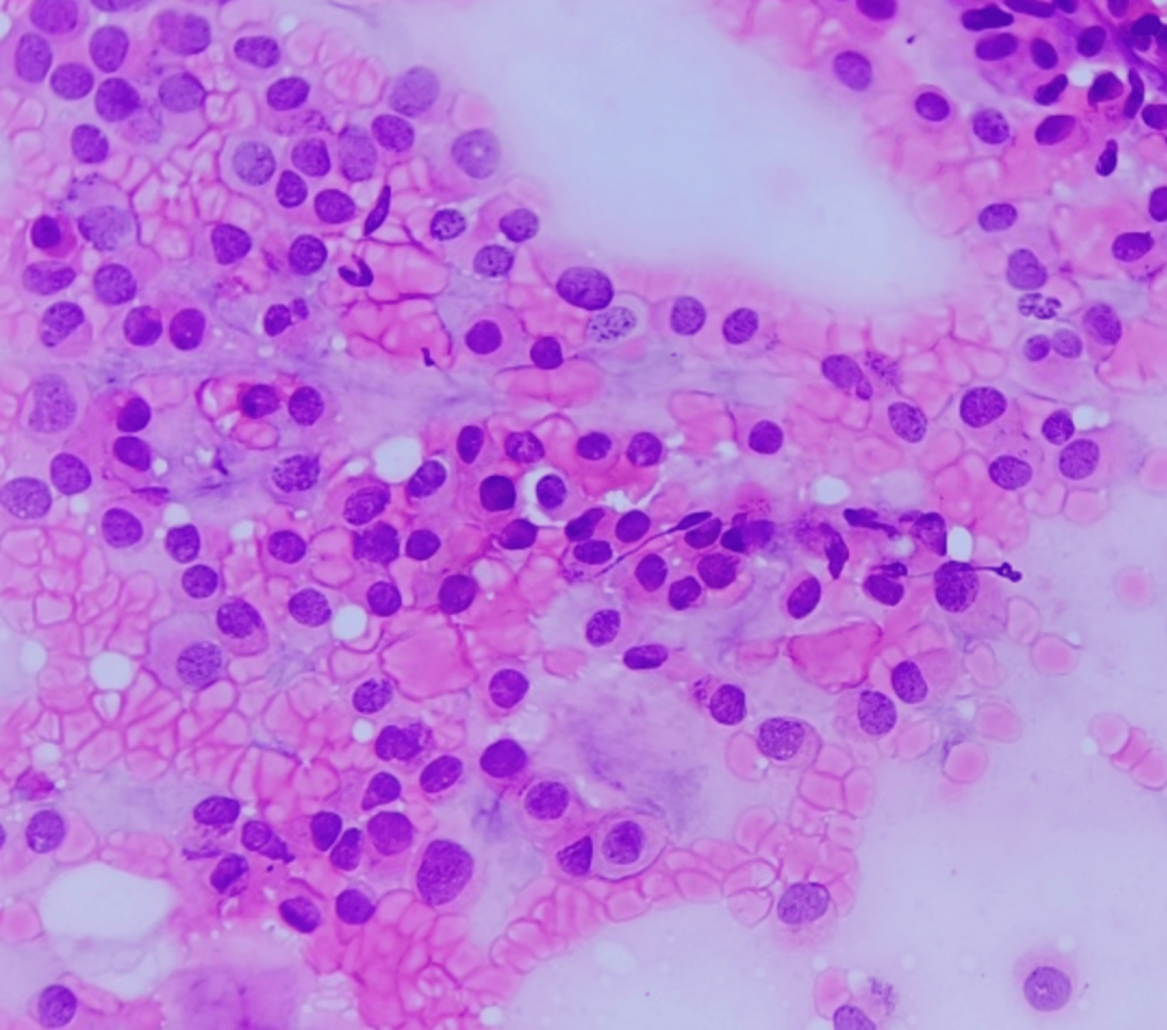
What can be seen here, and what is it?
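This cytology smear shows dispersed epithelial cells lying singly and in loose groups among a crowded background of pink, closely packed red blood cells. Each epithelial cell has a single round to slightly oval nucleus that stains dark purple and often sits toward one side of the cell. The nuclear outlines are smooth and regular, and the chromatin looks finely granular, without prominent nucleoli. Around the nucleus is a moderate rim of pale pink to lilac cytoplasm. Small clear round spaces are scattered through the background.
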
